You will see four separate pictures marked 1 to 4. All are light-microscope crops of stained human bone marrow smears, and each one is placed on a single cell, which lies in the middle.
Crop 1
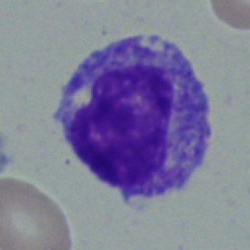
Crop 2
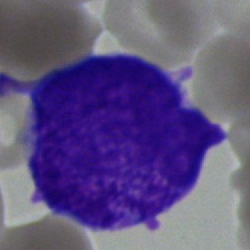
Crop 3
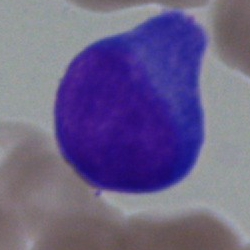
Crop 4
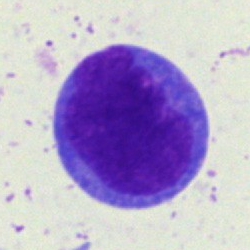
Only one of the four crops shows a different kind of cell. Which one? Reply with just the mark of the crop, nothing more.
1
